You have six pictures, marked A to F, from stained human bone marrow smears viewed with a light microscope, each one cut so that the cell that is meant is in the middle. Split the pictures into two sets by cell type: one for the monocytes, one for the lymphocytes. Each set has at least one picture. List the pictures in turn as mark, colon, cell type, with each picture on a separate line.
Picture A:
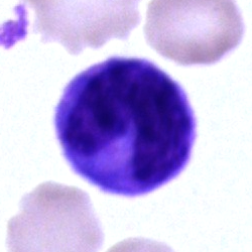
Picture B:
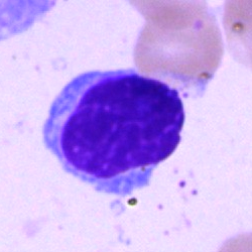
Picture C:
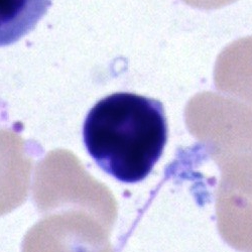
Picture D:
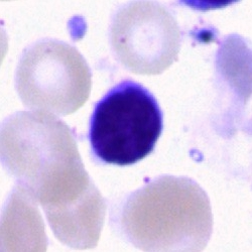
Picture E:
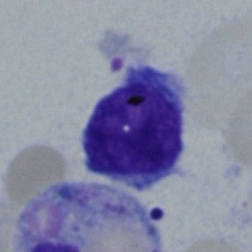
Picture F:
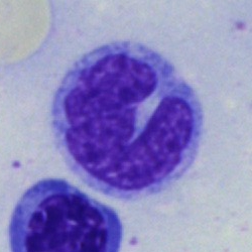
A: monocyte
B: lymphocyte
C: lymphocyte
D: lymphocyte
E: lymphocyte
F: monocyte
